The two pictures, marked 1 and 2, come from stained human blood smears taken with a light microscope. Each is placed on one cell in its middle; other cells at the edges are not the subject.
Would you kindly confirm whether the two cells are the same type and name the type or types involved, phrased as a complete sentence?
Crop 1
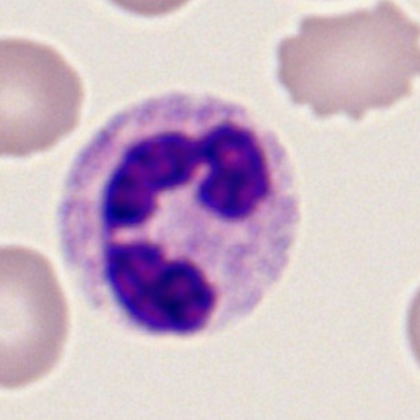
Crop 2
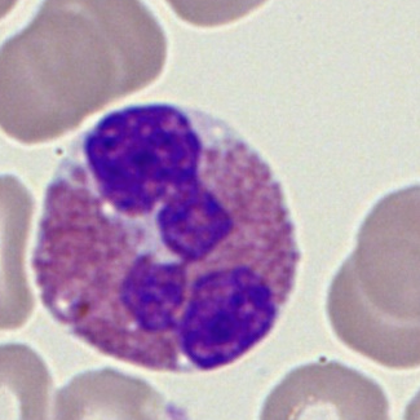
No, an eosinophil is the cell in crop 2, and crop 1 contains a neutrophil.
